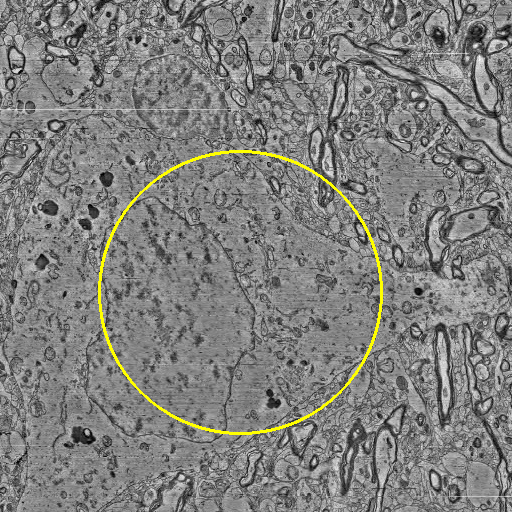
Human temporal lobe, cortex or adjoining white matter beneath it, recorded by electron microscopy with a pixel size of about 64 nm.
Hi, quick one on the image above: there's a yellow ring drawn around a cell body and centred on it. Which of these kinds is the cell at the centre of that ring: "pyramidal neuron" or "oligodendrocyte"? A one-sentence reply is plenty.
The cell at the centre of the ring is a pyramidal neuron.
